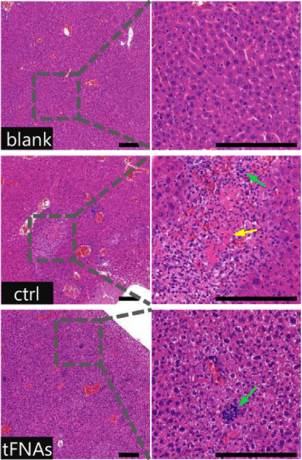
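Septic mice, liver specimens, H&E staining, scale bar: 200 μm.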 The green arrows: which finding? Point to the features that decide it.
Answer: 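Inflammatory cell infiltration. The green arrows point to clusters of small, densely dark-blue nuclei among the larger pale hepatocytes.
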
